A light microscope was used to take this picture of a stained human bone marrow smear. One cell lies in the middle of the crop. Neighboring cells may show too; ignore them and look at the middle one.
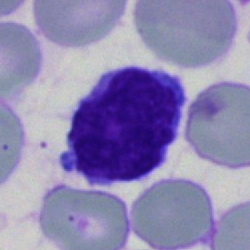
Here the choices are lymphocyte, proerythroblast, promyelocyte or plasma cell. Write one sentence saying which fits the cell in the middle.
The crop's centre is taken up by a lymphocyte.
